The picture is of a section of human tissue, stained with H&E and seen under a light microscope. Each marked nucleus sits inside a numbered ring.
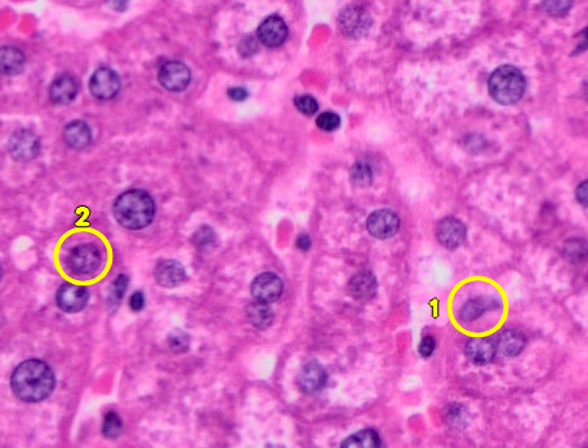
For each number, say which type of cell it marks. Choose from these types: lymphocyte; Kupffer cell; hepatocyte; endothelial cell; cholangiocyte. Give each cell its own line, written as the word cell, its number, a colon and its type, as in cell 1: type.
cell 1: Kupffer cell
cell 2: hepatocyte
